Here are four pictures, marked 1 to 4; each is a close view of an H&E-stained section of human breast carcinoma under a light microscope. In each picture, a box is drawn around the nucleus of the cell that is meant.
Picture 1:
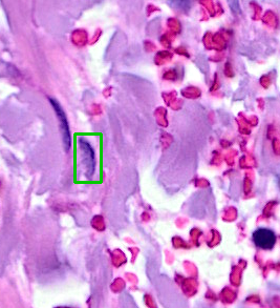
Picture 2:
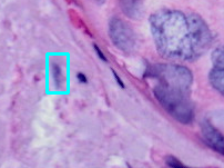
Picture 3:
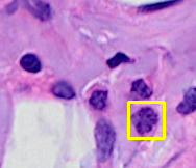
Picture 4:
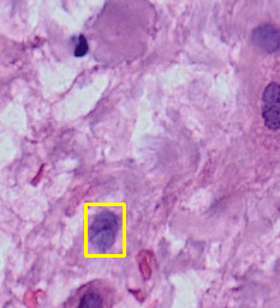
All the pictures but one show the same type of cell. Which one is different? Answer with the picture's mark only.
3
